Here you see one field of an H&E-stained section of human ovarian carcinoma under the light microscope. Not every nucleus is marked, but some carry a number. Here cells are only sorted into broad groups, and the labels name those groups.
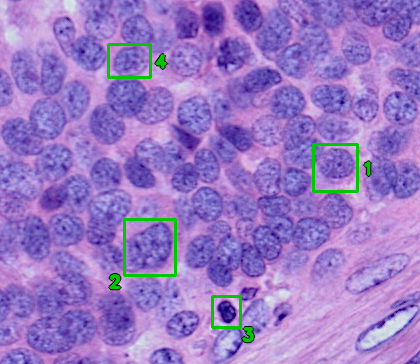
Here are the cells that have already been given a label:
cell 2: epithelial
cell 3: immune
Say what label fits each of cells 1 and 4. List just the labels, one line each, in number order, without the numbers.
epithelial
epithelial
